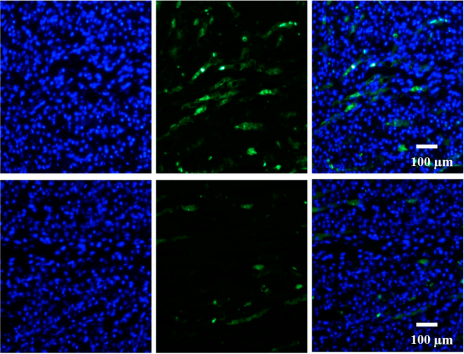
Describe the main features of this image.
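The block shows sections as separate blue and green channels, each with a merged image. Blue nuclei are small, dense and evenly scattered across every field.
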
